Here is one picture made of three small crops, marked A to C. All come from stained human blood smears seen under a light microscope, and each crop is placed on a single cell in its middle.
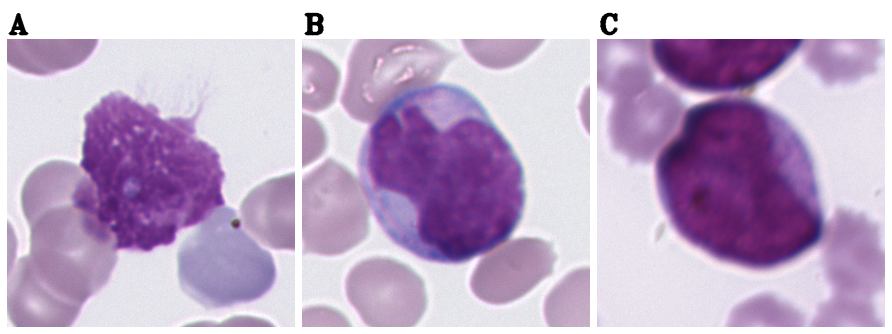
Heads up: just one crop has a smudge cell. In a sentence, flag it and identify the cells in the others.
Seen in crop A is a smudge cell, while crop B is an atypical promyelocyte and crop C is a myeloblast.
